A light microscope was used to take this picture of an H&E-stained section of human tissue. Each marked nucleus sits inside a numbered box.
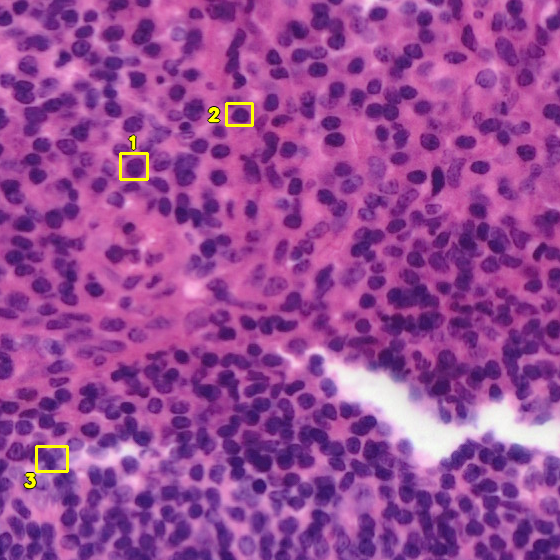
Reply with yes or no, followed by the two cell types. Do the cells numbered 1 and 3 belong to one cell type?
No, cell 1 is a plasma cell, while cell 3 is a small lymphocyte.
